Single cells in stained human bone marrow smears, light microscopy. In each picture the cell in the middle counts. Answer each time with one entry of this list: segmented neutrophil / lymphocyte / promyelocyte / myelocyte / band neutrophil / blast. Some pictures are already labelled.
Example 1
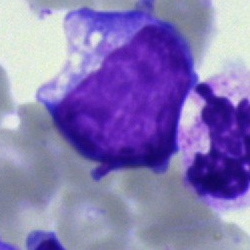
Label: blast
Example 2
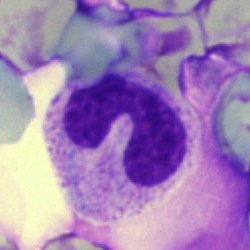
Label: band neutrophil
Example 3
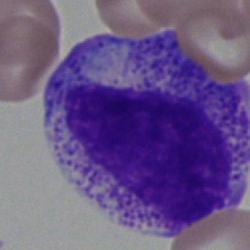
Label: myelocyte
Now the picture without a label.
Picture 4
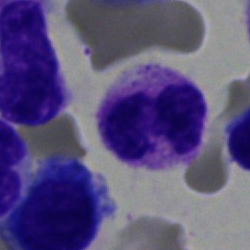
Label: segmented neutrophil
